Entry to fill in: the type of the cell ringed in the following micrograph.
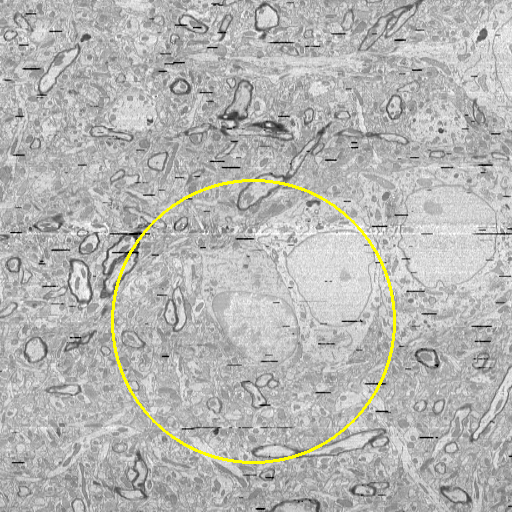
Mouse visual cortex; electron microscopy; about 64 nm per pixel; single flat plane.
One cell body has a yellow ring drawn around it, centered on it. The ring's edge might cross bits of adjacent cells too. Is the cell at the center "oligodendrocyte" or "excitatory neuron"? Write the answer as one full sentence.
This entry names an oligodendrocyte as the cell whose body lies at the ring's center.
